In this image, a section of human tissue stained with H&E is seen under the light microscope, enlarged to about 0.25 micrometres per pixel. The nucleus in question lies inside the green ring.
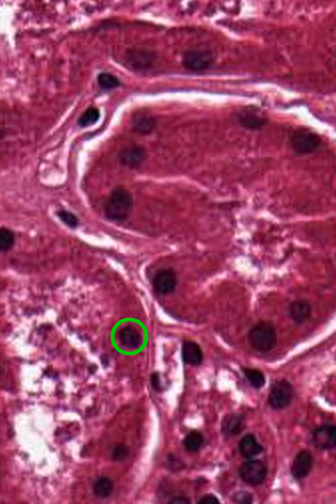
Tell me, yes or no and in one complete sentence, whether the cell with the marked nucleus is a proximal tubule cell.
Yes, the marked nucleus is the nucleus belonging to a proximal tubule cell.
